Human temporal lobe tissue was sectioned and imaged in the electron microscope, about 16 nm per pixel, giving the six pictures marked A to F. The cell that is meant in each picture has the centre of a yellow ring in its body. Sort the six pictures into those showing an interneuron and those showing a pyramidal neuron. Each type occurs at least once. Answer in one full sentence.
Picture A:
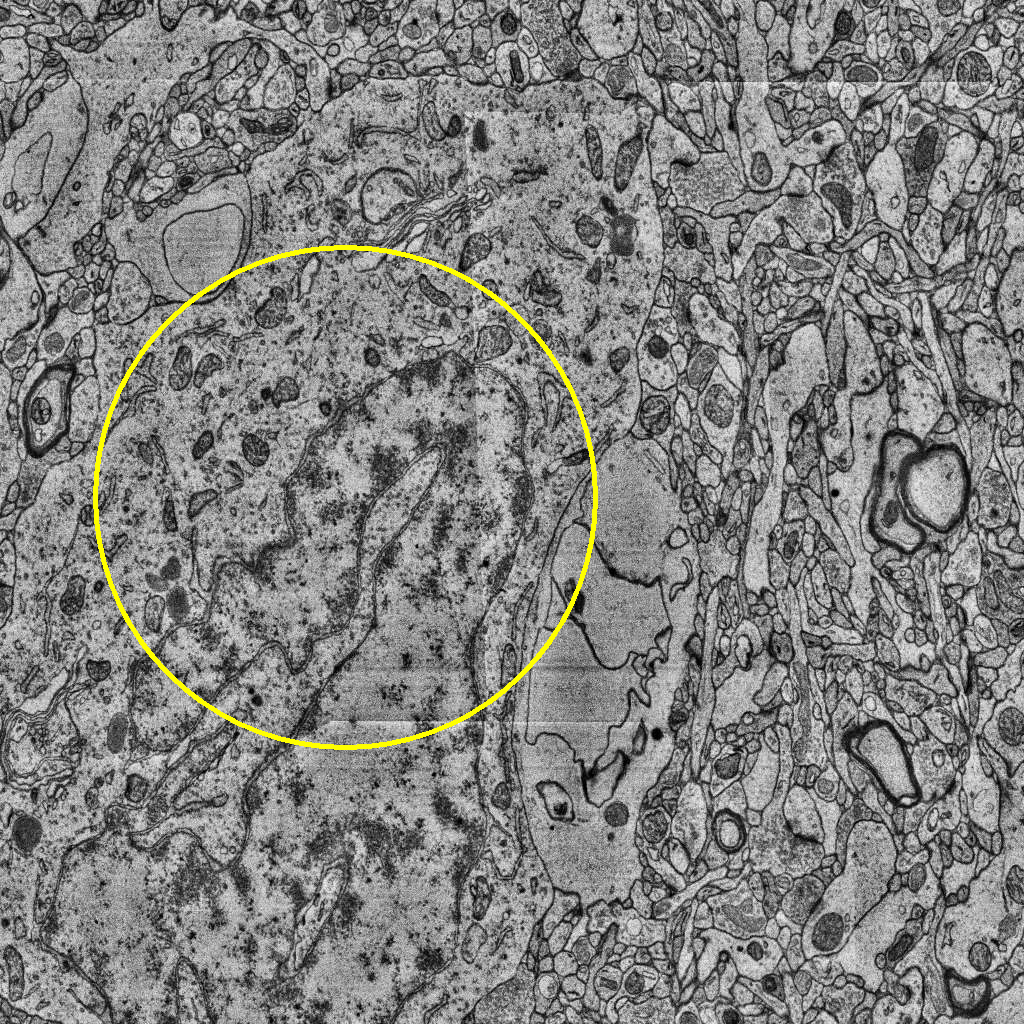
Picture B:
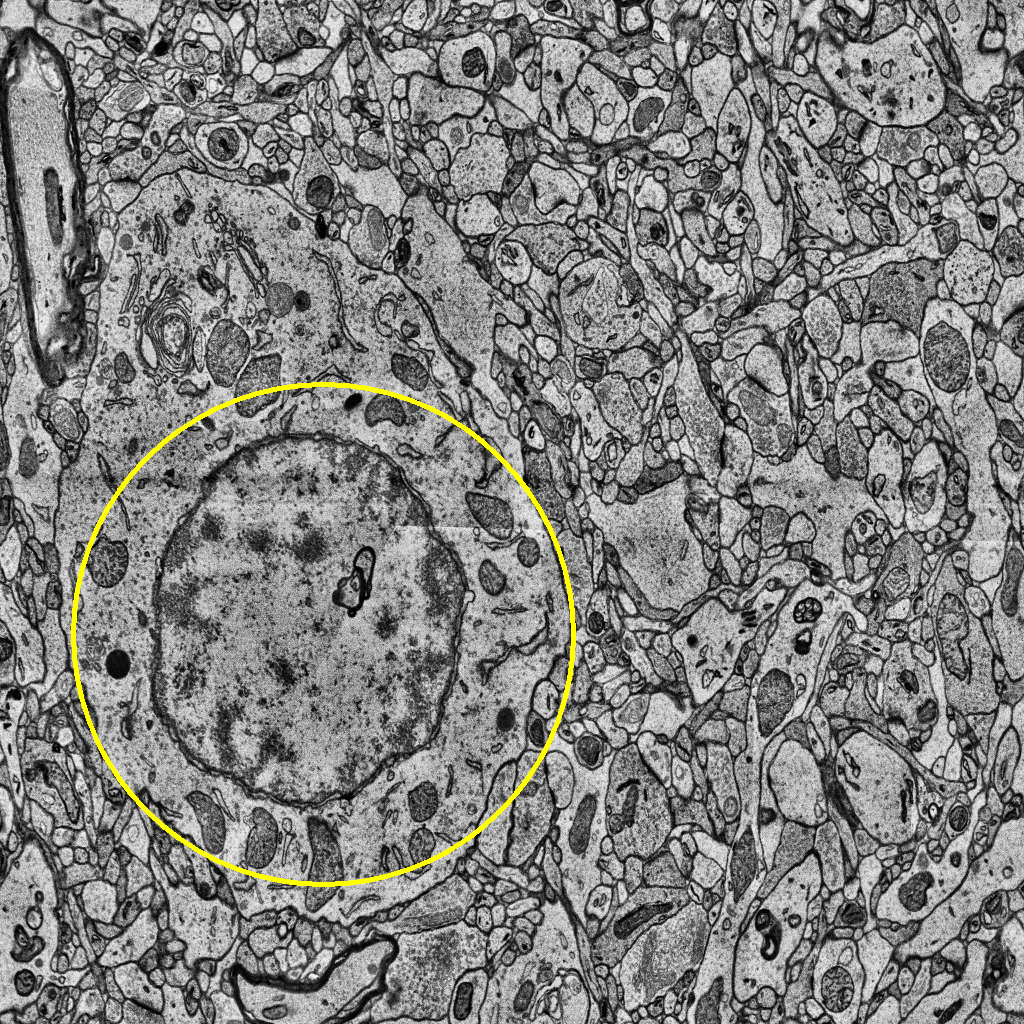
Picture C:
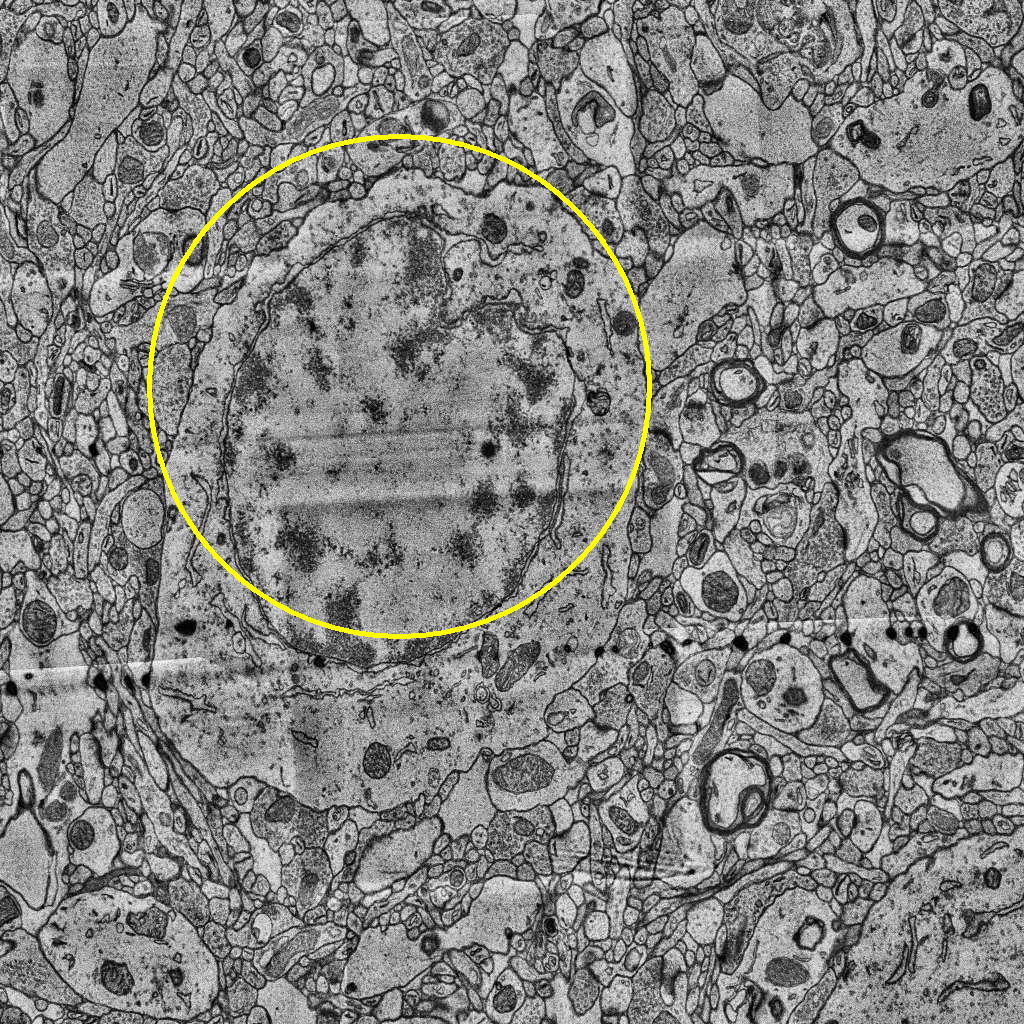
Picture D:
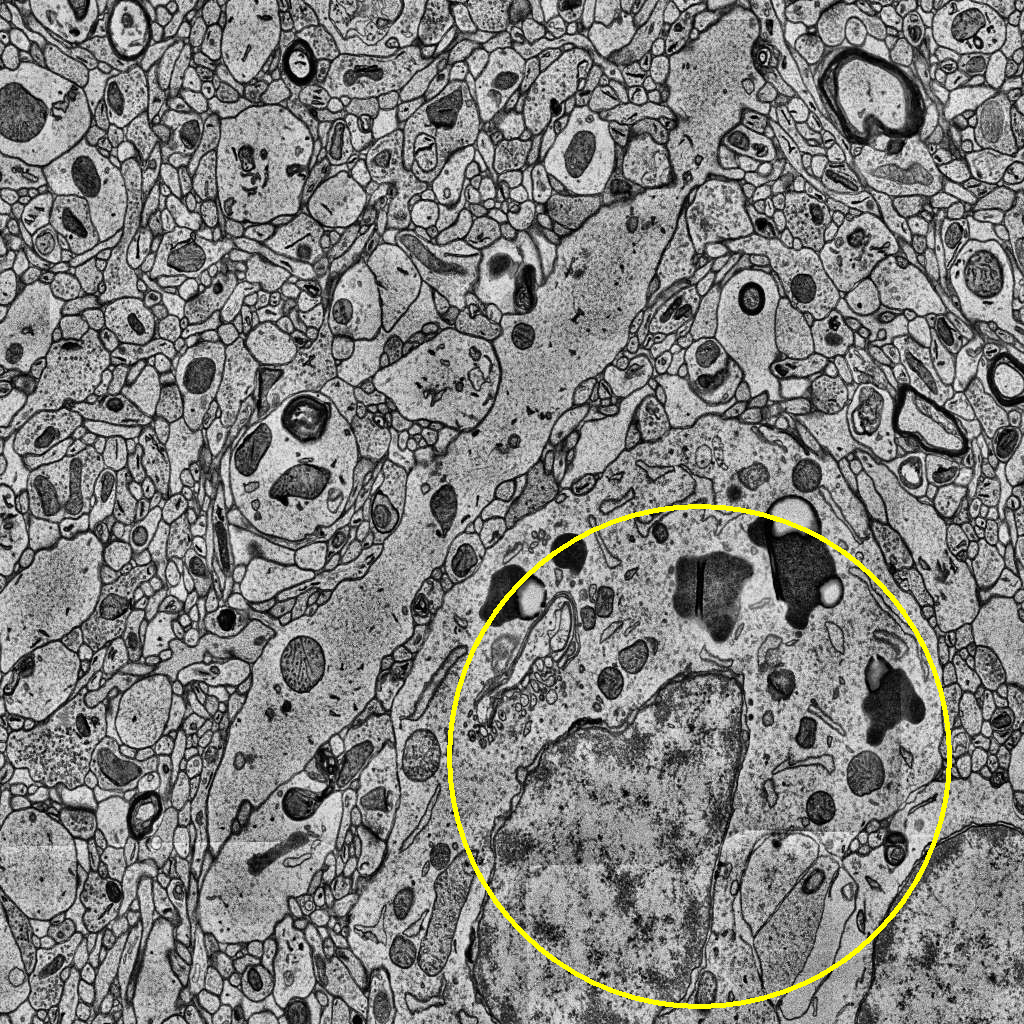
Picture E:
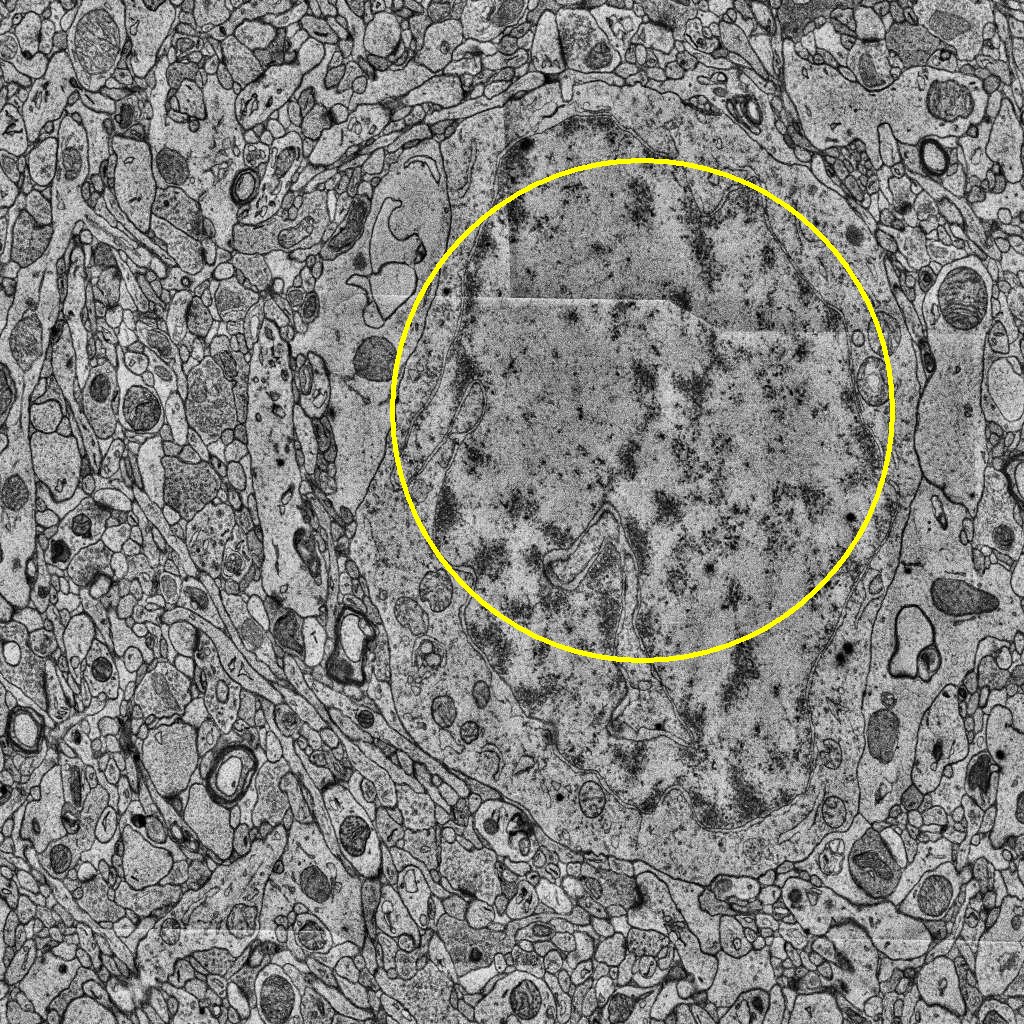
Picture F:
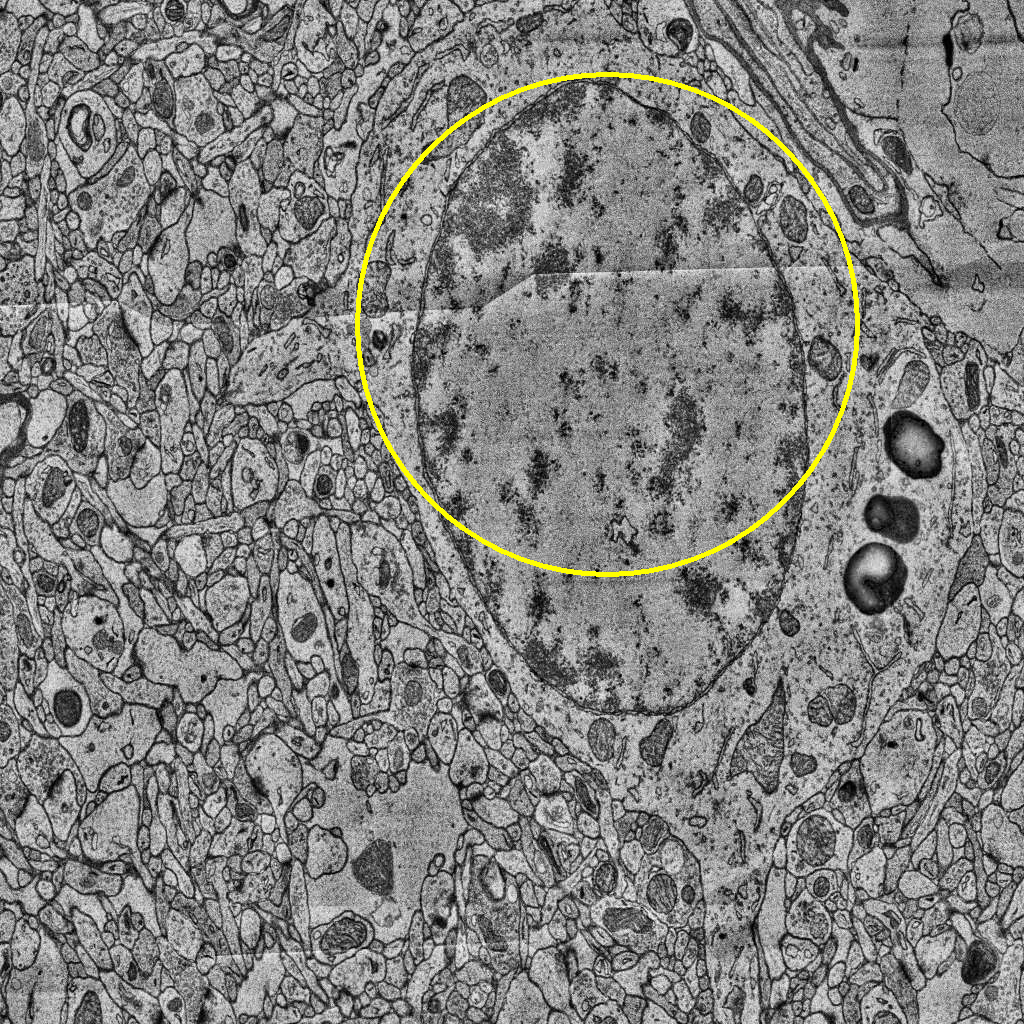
Pictures A, C, D and E show interneurons, while pictures B and F show pyramidal neurons.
